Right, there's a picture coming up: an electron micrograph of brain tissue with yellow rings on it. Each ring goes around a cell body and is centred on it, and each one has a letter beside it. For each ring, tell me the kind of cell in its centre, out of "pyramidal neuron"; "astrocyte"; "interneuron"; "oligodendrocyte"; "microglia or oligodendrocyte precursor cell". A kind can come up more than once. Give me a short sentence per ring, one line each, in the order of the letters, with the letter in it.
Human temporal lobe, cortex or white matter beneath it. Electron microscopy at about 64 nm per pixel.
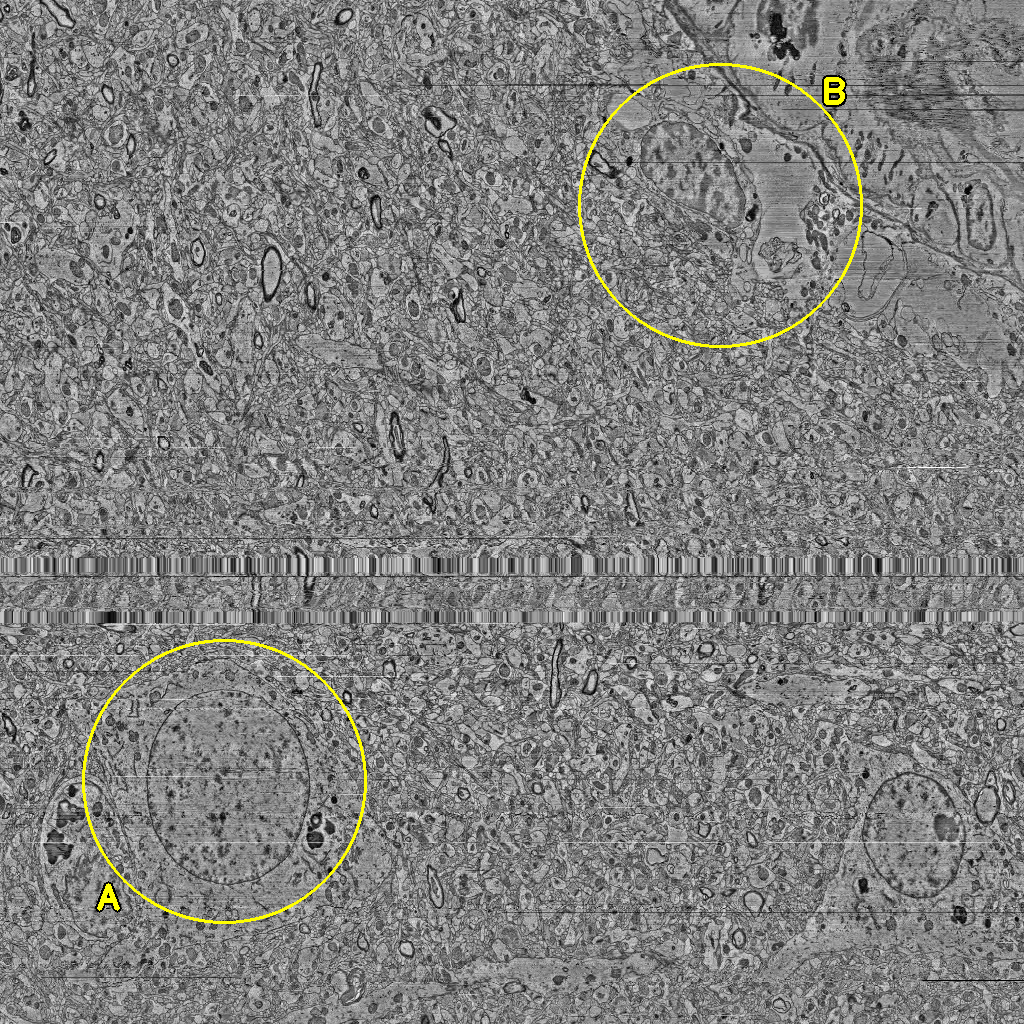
That's a pyramidal neuron in ring A.
That's a microglial cell or oligodendrocyte precursor cell in ring B.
